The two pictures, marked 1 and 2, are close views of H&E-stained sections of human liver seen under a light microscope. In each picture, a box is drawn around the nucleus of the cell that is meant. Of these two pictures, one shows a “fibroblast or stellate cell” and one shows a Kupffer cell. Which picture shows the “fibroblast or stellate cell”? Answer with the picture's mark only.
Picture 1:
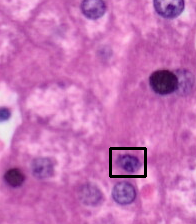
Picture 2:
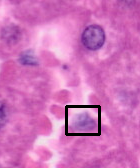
1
